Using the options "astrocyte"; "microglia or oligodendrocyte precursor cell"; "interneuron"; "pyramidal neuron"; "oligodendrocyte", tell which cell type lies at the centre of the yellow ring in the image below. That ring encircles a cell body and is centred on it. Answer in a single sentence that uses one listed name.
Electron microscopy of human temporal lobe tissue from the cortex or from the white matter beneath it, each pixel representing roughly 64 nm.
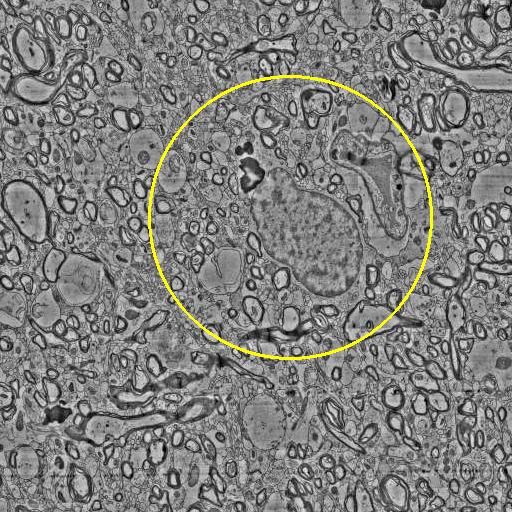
At the centre of the yellow ring lies the body of an oligodendrocyte.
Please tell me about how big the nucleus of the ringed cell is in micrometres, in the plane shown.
Roughly 9 by 6 micrometres in this plane, for the nucleus of the ringed cell.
